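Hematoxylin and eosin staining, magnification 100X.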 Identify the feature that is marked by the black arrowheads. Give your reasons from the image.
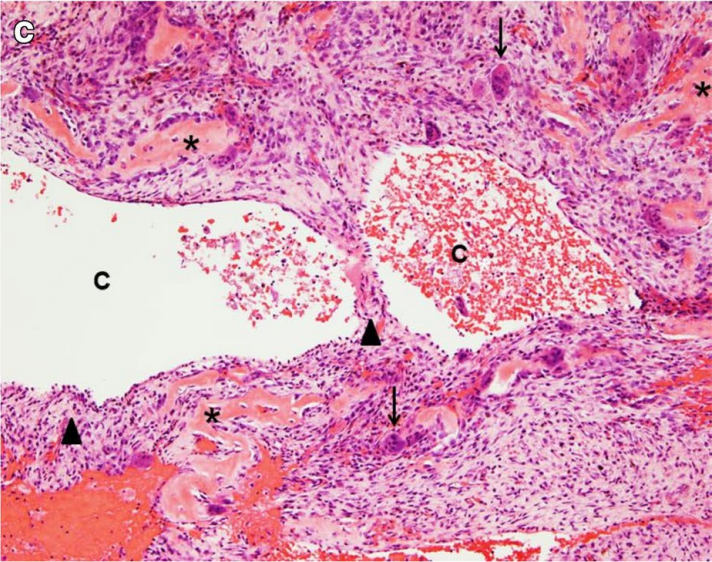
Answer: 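Thin bands of cellular tissue separating the blood-filled spaces. Bands contain many small nuclei.
Hence: cellular septa.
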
